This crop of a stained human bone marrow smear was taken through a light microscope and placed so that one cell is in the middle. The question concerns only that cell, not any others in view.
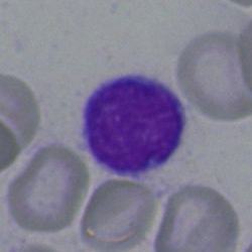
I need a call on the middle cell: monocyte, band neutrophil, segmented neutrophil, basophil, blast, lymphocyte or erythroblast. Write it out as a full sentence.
Classified as a lymphocyte is the cell in the middle of this crop.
